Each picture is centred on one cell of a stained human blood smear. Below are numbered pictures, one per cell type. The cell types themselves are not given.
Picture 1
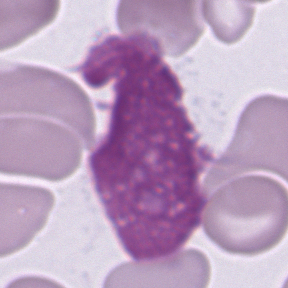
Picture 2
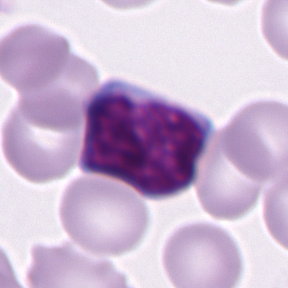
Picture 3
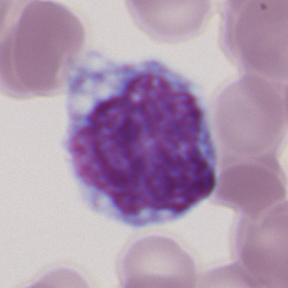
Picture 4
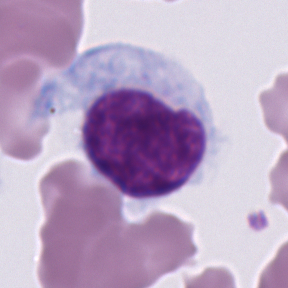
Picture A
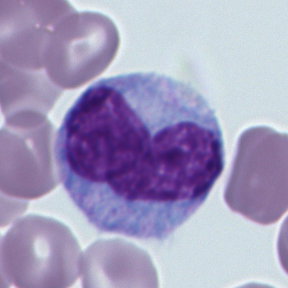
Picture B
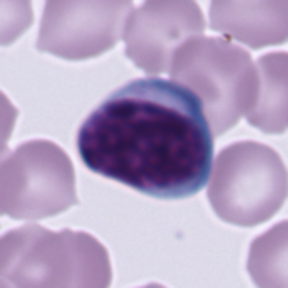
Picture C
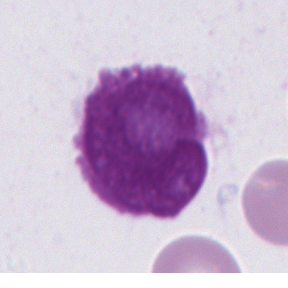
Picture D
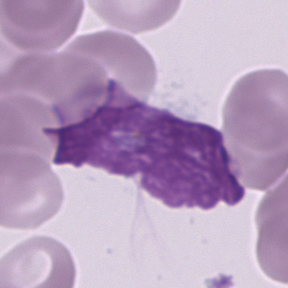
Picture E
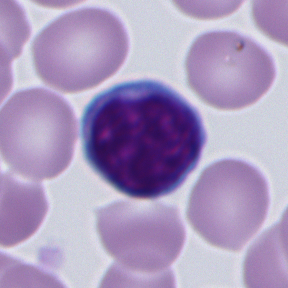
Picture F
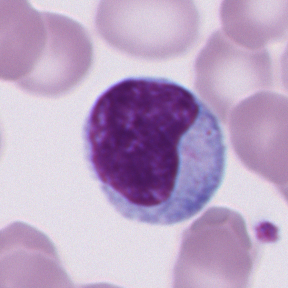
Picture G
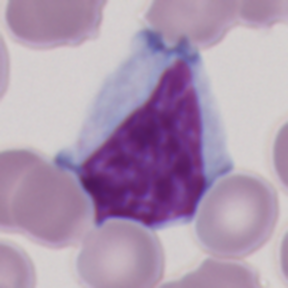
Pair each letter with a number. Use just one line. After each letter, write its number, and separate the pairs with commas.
A 3, B 2, C 1, D 1, E 2, F 2, G 2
